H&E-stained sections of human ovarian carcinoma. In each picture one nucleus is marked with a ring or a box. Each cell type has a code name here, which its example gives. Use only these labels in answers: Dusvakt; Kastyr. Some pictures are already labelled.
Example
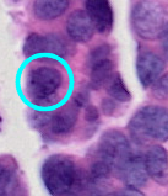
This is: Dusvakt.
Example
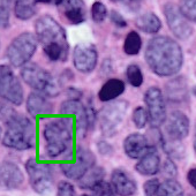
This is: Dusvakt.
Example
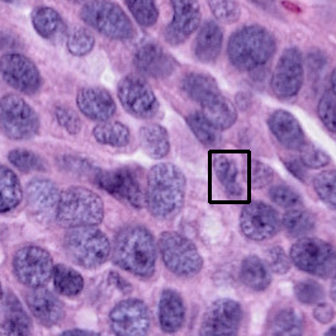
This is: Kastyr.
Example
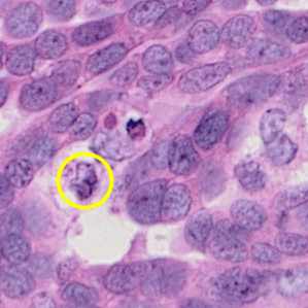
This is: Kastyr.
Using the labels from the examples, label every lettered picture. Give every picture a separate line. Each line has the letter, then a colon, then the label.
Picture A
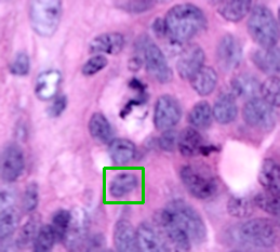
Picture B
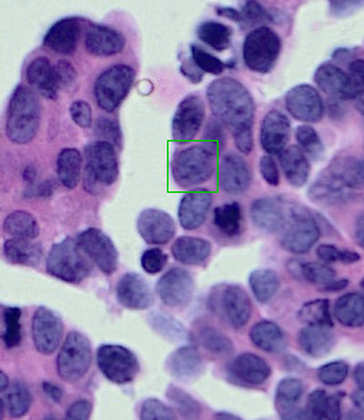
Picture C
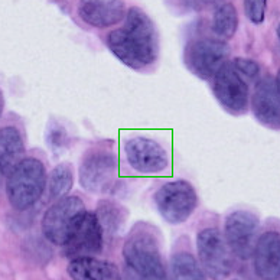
A: Kastyr.
B: Dusvakt.
C: Kastyr.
